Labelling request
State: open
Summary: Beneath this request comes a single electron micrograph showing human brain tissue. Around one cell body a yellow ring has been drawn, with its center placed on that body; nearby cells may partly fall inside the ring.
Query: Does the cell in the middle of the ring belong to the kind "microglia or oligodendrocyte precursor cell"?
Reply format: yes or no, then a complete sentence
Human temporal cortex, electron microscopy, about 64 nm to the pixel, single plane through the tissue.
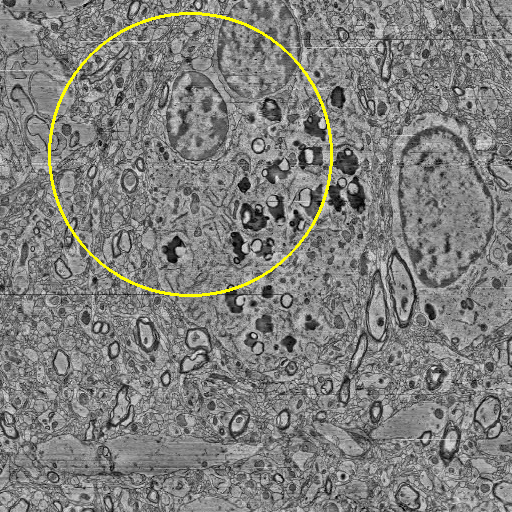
Yes, the cell sitting at the center of the ring in this picture is of that kind.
